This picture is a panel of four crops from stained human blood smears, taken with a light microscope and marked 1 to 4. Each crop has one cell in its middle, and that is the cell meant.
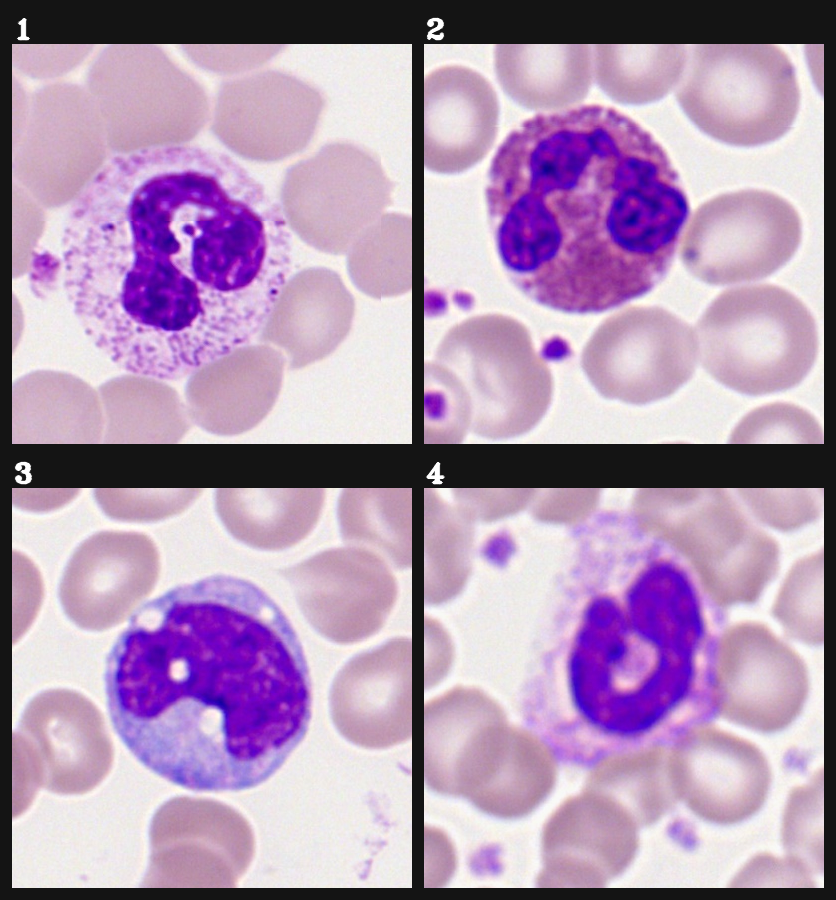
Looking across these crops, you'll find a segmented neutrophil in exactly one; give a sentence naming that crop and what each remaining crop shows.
Crop 1 is where a segmented neutrophil is shown, whereas crop 2 is an eosinophil, crop 3 is a monocyte and crop 4 is a band neutrophil.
